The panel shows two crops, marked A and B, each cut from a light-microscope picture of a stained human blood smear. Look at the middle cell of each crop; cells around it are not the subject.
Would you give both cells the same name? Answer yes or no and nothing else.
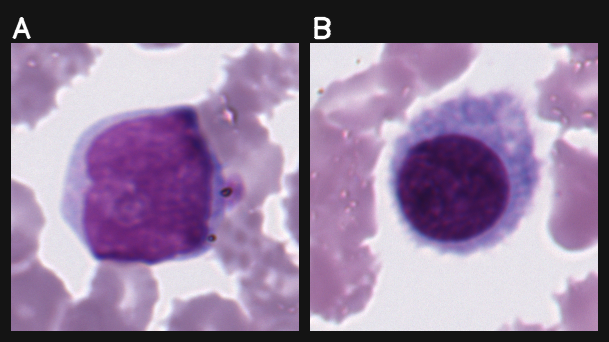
no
